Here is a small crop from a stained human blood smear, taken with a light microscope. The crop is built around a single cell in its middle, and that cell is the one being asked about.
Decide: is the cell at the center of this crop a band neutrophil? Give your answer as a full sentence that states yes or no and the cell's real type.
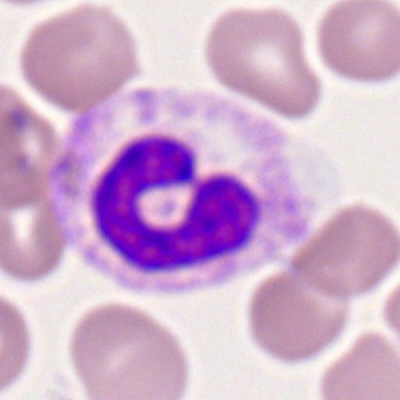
Yes, the middle of the crop is occupied by a band neutrophil.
